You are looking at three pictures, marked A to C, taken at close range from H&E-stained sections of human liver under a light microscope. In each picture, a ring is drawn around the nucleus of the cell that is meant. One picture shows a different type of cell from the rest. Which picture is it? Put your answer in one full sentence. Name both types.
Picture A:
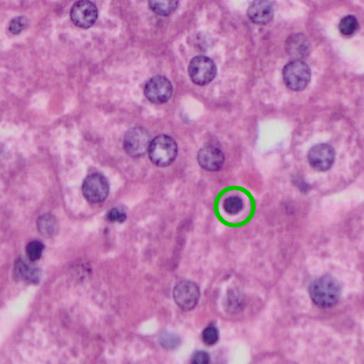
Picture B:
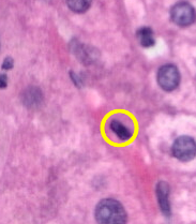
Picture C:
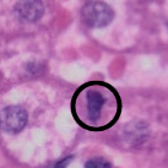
Picture C is the odd one out: it shows a “fibroblast or stellate cell”, while the others show lymphocytes.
